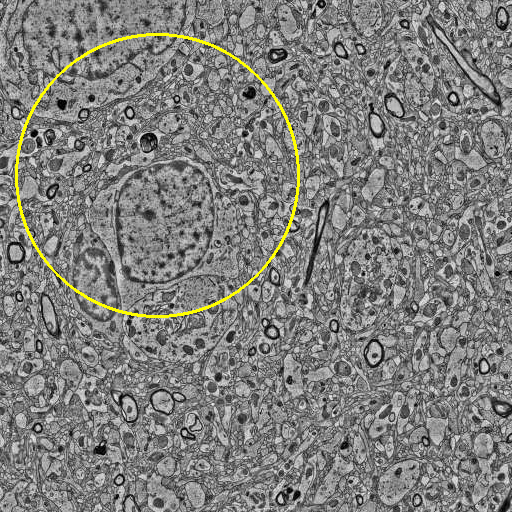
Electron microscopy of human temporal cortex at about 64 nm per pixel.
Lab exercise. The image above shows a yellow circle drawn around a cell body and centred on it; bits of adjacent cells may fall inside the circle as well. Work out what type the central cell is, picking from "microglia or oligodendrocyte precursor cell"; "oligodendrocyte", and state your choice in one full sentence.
In the image above, the cell at the centre of the yellow circle is a microglial cell or oligodendrocyte precursor cell.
